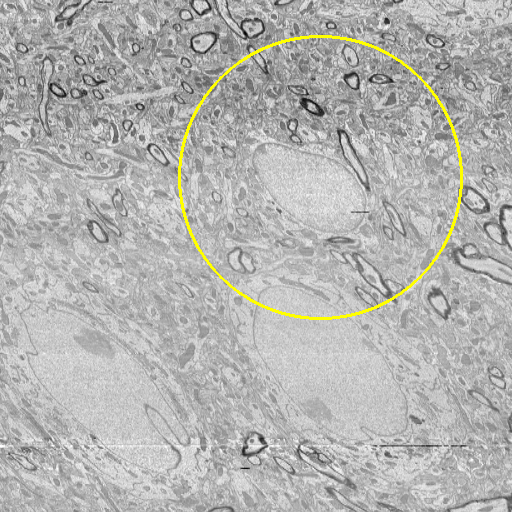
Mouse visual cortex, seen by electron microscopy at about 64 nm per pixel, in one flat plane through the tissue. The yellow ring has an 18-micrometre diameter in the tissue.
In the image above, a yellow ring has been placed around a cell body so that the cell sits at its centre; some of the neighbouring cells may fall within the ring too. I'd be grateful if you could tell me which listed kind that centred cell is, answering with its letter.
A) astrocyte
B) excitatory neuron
A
